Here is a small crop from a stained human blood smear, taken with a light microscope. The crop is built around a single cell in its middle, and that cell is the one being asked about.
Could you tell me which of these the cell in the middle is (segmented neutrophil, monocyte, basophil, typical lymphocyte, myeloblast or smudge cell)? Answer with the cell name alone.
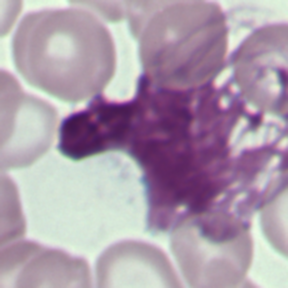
smudge cell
